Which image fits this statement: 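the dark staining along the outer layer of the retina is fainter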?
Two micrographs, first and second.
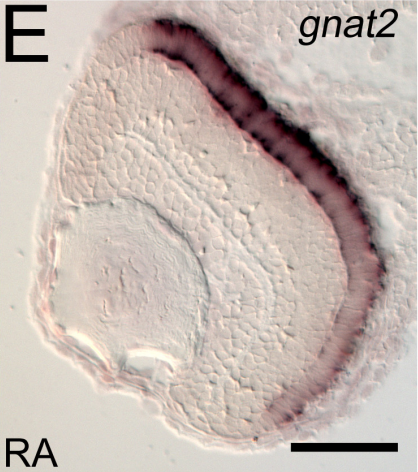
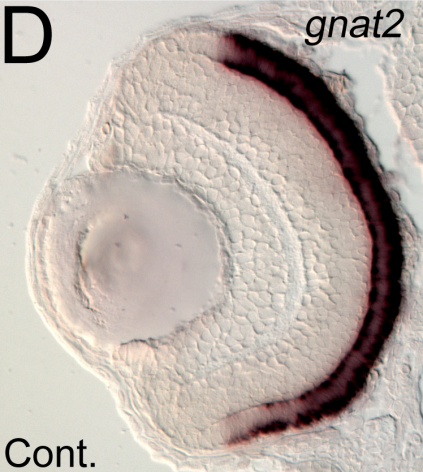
the first image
